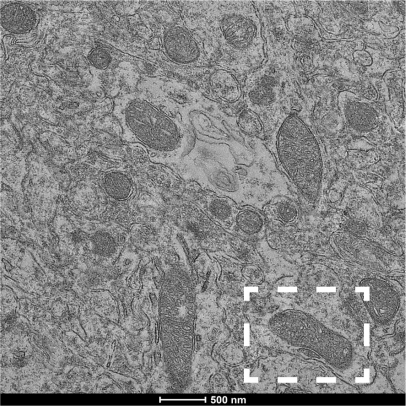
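This electron micrograph of brain tissue shows numerous mitochondria lying among the membrane profiles of neuronal and glial processes. The mitochondria appear as round and elongated profiles, some cut in cross section and some lengthwise. A pale, electron-lucent space near the centre contains a few membranous profiles.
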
